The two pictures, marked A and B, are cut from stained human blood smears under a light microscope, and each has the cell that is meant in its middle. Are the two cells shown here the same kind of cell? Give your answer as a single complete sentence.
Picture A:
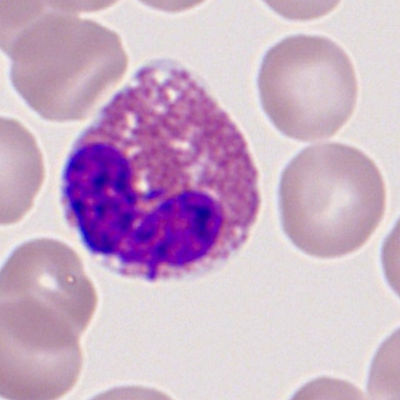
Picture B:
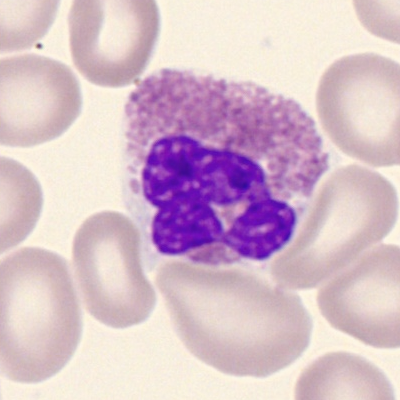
Yes, they are the same type: both are eosinophils.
